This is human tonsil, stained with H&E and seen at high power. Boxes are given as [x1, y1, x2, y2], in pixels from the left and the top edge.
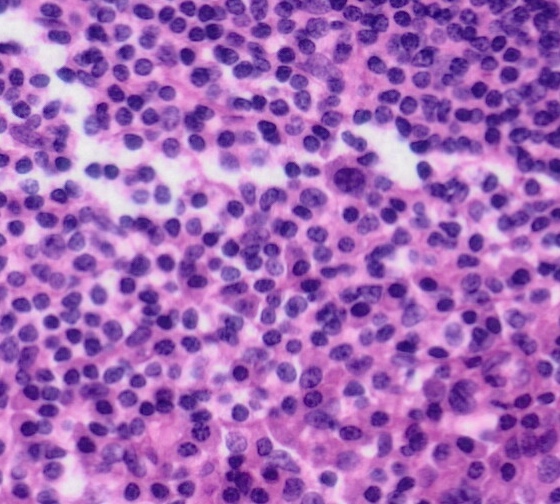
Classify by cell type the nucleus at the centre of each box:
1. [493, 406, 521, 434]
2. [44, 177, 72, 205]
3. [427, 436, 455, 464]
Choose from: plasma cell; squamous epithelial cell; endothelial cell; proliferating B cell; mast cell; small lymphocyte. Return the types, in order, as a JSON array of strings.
["plasma cell", "small lymphocyte", "plasma cell"]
